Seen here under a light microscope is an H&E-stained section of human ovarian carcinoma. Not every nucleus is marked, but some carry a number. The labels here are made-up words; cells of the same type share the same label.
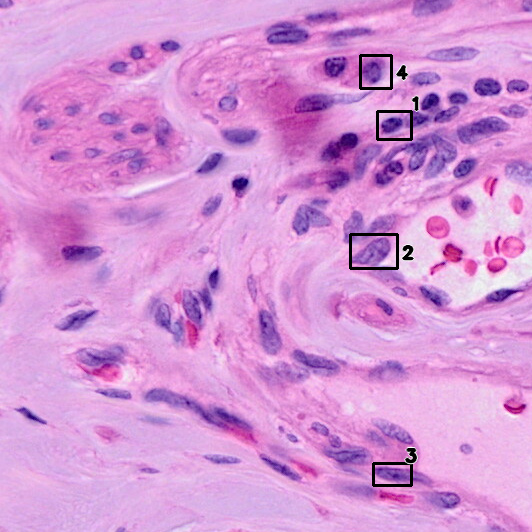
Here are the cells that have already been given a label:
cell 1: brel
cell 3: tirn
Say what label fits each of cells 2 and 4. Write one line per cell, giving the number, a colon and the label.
2: tirn
4: brel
